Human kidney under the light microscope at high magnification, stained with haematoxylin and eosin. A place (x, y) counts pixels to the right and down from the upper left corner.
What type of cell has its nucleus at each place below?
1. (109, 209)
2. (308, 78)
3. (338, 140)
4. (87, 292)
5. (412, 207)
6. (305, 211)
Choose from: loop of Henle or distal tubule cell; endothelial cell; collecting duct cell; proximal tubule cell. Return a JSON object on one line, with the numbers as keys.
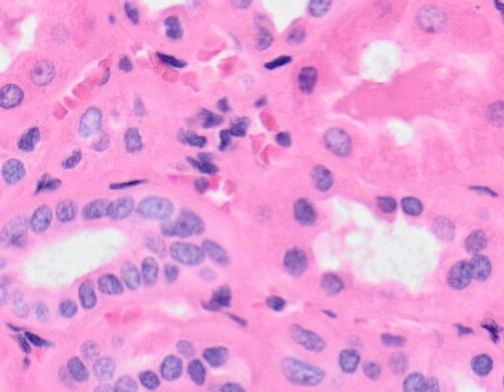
{"1": "collecting duct cell", "2": "proximal tubule cell", "3": "proximal tubule cell", "4": "collecting duct cell", "5": "loop of Henle or distal tubule cell", "6": "loop of Henle or distal tubule cell"}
